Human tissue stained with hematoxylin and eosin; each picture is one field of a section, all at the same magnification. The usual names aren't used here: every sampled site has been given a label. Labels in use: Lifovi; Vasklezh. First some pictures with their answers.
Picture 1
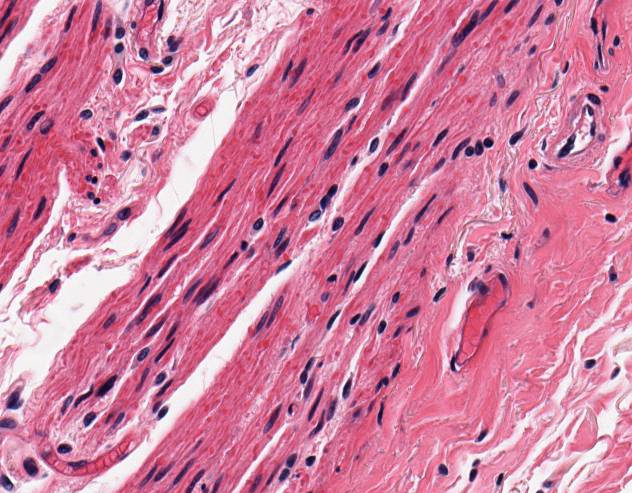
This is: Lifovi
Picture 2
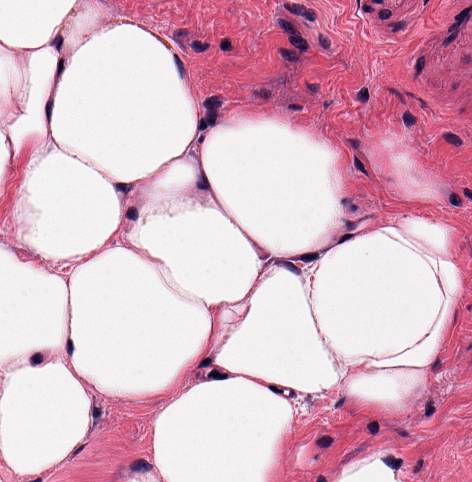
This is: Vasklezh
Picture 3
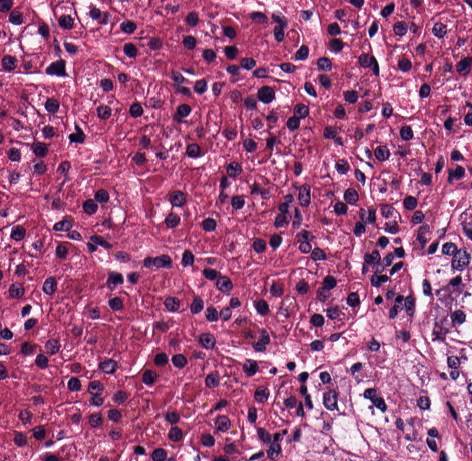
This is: Vasklezh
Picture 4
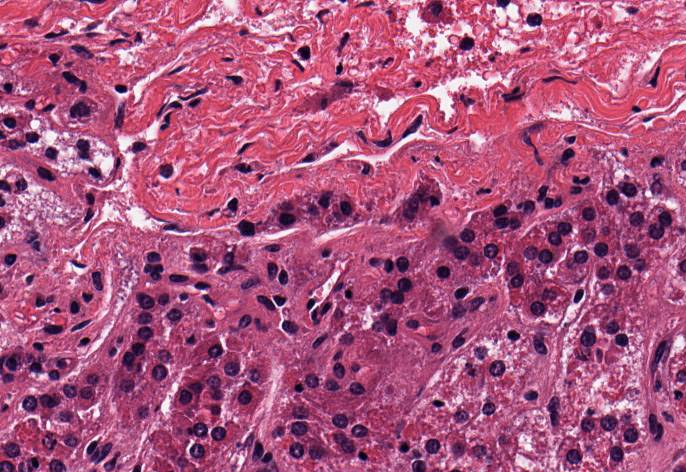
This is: Vasklezh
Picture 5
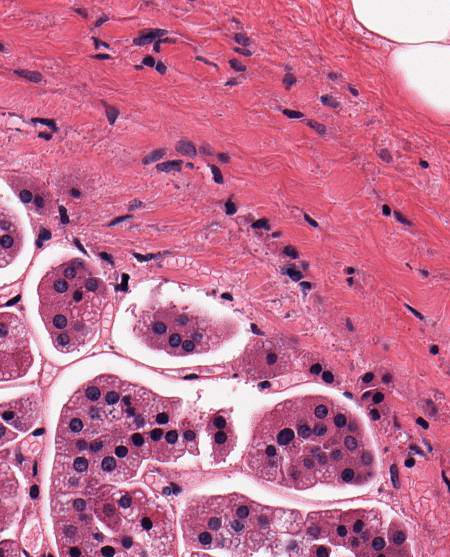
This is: Vasklezh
